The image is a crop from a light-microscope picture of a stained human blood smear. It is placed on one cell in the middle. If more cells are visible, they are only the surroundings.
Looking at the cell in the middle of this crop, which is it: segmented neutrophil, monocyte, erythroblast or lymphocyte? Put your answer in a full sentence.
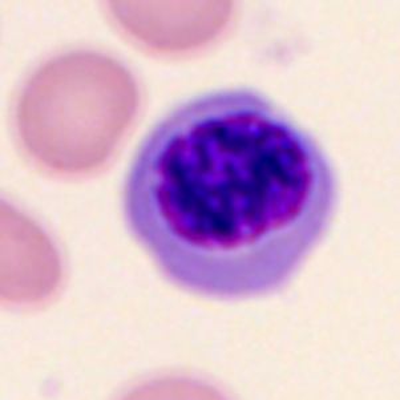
At the center of the crop sits an erythroblast.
